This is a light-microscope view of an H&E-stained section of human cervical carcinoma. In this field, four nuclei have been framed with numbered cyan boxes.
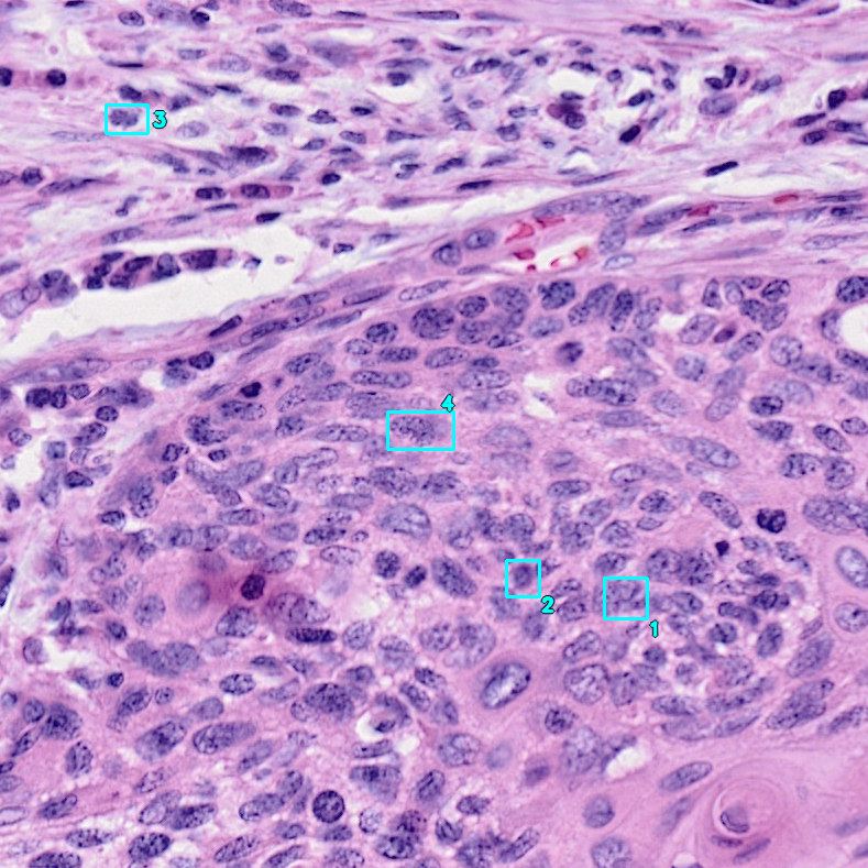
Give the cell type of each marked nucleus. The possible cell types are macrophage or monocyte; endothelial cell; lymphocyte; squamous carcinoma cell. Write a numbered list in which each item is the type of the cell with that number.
1. squamous carcinoma cell
2. squamous carcinoma cell
3. lymphocyte
4. squamous carcinoma cell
